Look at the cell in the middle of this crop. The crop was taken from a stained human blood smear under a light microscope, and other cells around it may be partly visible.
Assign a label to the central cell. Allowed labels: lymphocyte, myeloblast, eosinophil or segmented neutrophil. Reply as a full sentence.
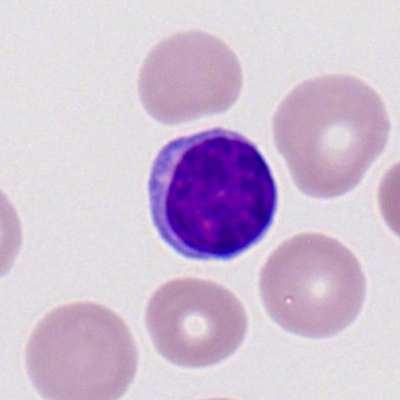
Looking at the middle of the crop, the cell there is a lymphocyte.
